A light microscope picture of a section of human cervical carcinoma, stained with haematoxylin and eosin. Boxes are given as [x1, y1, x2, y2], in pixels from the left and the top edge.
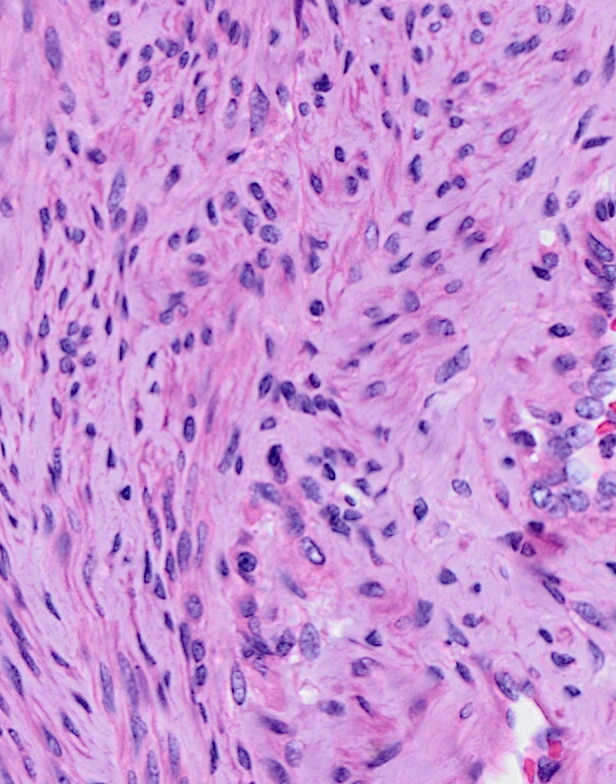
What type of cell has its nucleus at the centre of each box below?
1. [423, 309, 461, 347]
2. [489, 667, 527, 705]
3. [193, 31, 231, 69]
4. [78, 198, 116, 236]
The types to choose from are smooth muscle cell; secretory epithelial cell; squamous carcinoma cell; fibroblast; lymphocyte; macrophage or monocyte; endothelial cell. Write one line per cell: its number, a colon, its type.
1: smooth muscle cell
2: endothelial cell
3: smooth muscle cell
4: smooth muscle cell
